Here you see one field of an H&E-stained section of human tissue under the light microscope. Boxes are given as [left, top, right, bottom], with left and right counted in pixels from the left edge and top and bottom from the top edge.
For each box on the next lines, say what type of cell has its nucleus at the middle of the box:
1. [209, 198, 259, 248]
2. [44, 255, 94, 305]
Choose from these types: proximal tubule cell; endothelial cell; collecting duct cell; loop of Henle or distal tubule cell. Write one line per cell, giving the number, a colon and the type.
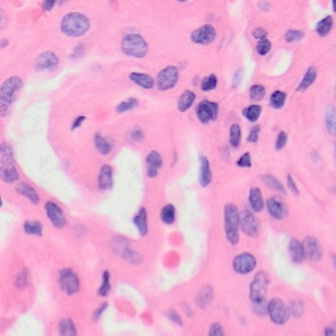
1: collecting duct cell
2: proximal tubule cell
